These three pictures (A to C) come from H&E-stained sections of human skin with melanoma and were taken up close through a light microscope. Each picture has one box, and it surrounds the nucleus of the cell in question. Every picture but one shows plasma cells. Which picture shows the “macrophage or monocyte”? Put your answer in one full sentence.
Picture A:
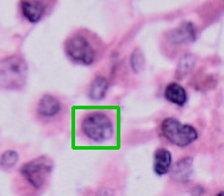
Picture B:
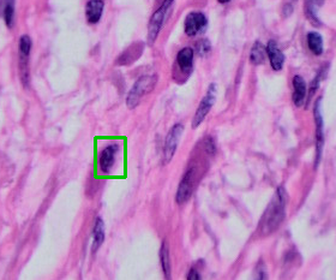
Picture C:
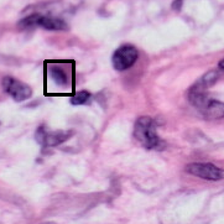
Picture A is the one that shows the “macrophage or monocyte”.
